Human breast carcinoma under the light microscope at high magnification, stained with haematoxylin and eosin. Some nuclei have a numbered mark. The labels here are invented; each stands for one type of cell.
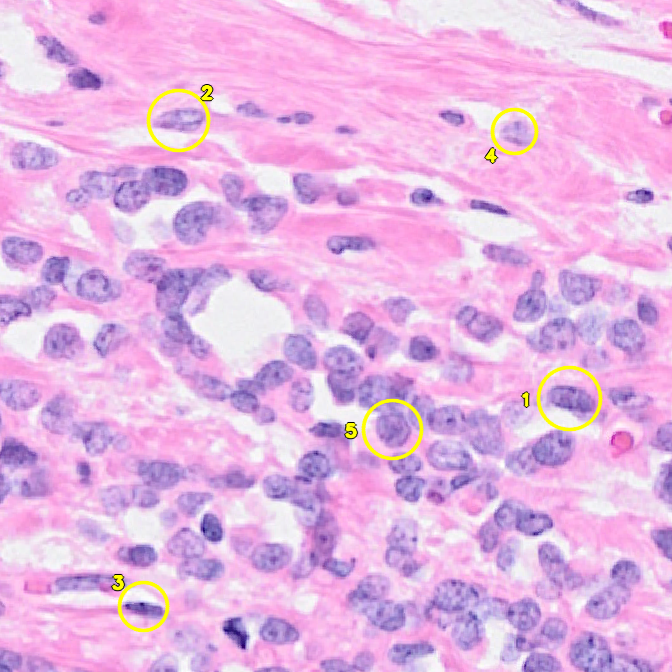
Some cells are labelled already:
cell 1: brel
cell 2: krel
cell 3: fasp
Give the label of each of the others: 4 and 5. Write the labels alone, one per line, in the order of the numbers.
krel
brel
